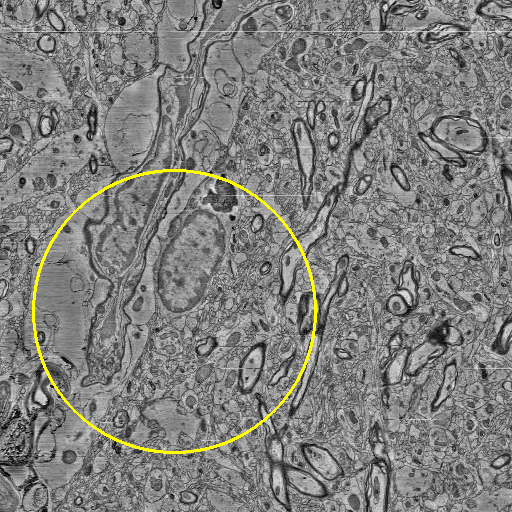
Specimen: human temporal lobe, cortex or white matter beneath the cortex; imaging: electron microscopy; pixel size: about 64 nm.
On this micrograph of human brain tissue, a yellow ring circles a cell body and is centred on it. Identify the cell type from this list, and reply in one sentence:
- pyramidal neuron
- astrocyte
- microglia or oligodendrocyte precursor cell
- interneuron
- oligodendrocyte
The cell at the centre is an oligodendrocyte.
